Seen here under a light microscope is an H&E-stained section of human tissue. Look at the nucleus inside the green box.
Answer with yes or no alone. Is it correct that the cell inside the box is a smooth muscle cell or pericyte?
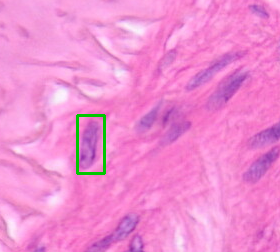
yes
